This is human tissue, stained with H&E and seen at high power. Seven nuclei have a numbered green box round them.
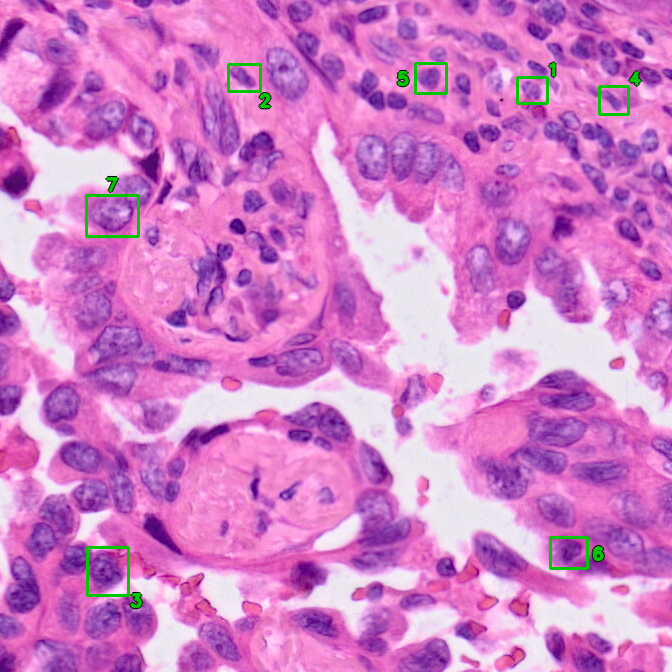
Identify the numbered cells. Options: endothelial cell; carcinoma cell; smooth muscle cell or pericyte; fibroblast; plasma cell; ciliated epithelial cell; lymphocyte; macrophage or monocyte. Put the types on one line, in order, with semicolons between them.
lymphocyte; lymphocyte; carcinoma cell; lymphocyte; lymphocyte; carcinoma cell; carcinoma cell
